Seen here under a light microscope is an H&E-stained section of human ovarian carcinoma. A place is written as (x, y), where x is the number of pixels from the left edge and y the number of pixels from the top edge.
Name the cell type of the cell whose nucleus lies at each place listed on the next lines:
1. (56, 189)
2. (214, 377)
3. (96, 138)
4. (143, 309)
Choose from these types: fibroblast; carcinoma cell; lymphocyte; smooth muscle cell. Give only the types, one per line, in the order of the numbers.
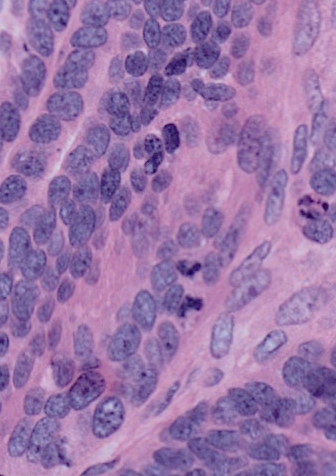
carcinoma cell
fibroblast
carcinoma cell
carcinoma cell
